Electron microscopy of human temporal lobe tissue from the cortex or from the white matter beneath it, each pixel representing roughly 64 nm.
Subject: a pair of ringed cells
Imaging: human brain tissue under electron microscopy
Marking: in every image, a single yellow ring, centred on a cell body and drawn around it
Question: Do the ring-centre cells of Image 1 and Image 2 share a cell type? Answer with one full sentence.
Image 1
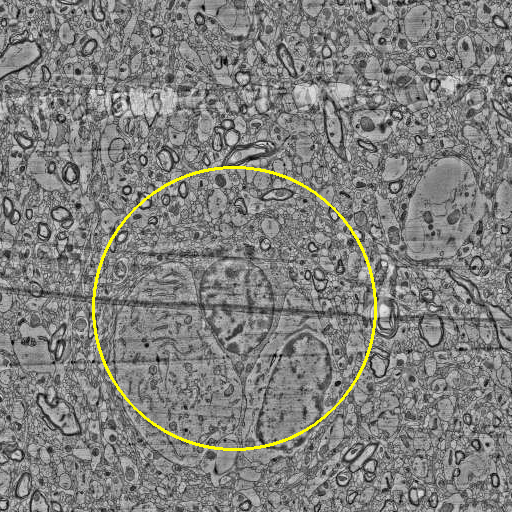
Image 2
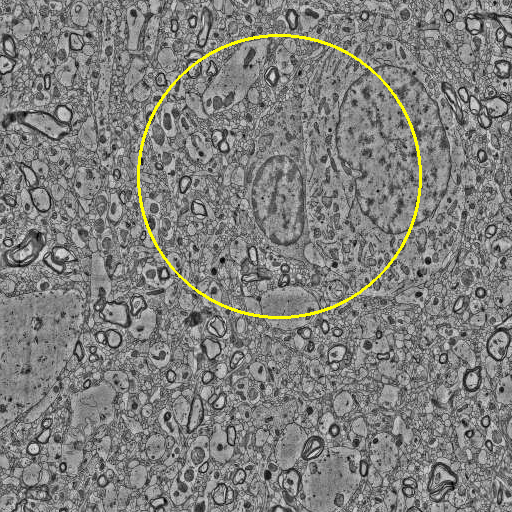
Yes, at each ring's centre in the images sits a cell of one common type.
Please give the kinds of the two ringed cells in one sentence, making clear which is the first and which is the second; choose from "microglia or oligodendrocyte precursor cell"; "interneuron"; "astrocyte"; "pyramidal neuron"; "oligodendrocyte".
Both rings mark an oligodendrocyte, one in each picture.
